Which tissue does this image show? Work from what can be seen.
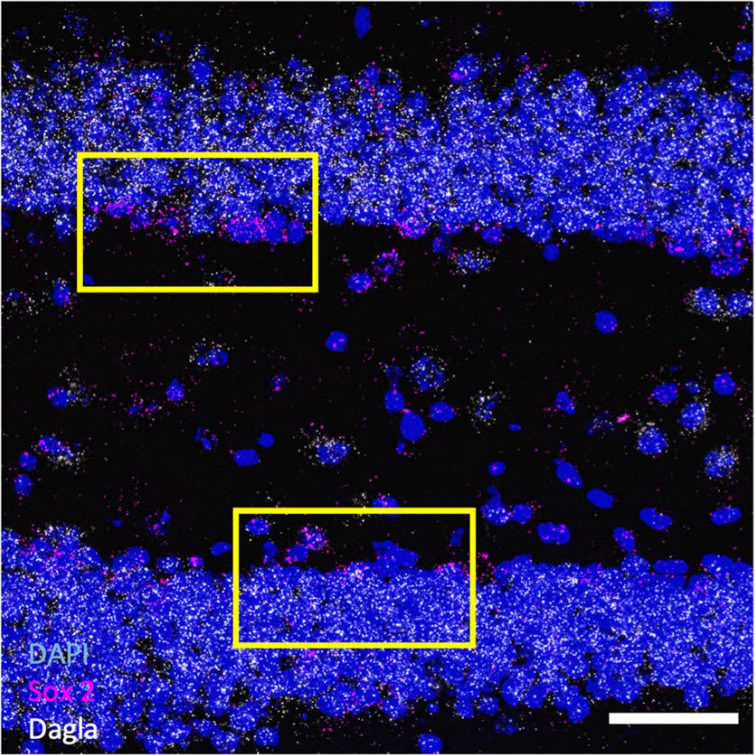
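Two parallel bands of densely packed small round nuclei. A sparsely celled zone with scattered nuclei lies between the two bands. On this evidence: dentate gyrus.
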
